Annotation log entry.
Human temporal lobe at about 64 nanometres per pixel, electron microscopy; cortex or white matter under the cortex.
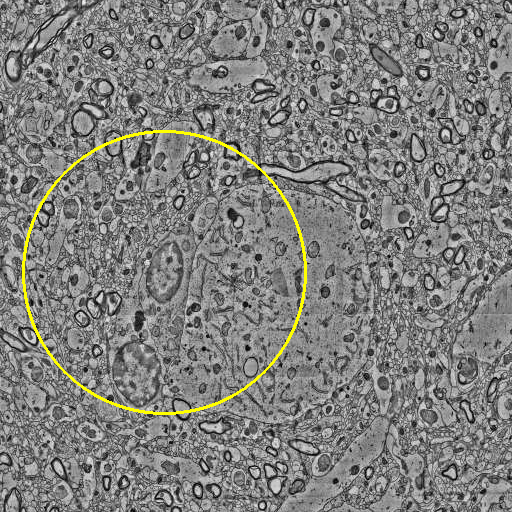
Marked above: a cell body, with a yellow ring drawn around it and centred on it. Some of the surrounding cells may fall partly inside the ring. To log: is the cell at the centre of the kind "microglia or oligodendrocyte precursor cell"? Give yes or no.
No, the cell at the centre is of another kind.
